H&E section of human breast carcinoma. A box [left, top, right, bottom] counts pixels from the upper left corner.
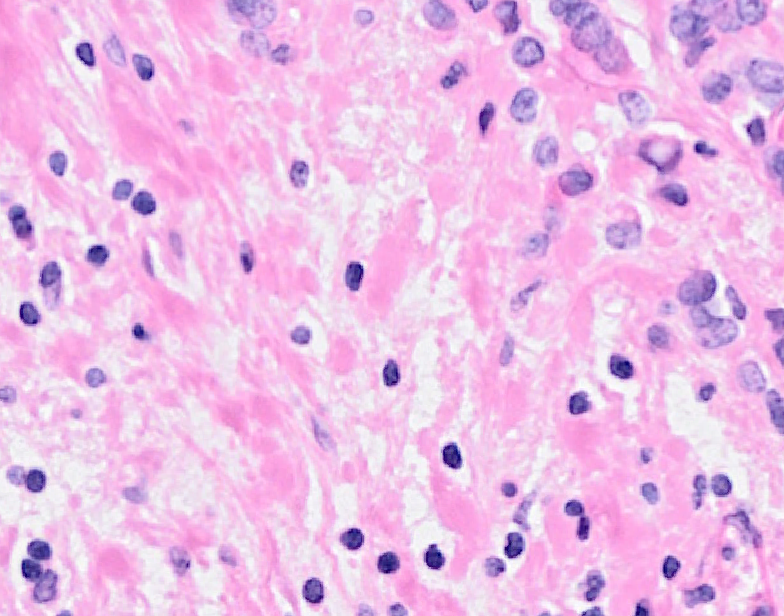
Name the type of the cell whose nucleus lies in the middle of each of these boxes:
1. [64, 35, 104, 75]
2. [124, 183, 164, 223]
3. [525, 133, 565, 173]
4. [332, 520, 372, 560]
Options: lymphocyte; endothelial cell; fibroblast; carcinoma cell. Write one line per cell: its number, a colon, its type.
1: lymphocyte
2: lymphocyte
3: carcinoma cell
4: lymphocyte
